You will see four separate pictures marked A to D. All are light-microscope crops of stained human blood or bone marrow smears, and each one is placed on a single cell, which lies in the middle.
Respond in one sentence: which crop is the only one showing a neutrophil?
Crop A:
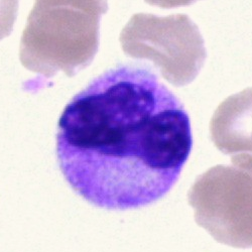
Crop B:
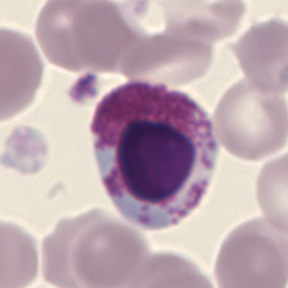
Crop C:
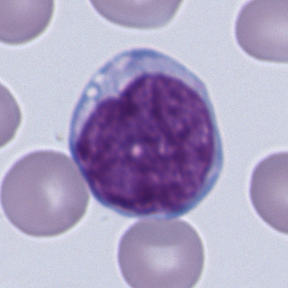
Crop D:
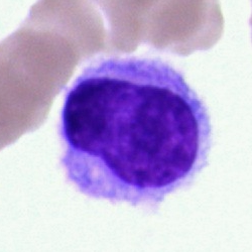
Crop A is the crop containing a neutrophil.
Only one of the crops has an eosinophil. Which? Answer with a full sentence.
Identified crop: B, the one that shows an eosinophil.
